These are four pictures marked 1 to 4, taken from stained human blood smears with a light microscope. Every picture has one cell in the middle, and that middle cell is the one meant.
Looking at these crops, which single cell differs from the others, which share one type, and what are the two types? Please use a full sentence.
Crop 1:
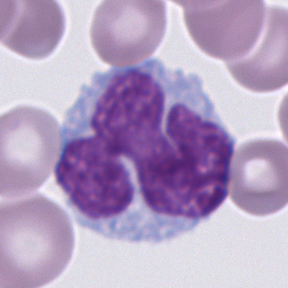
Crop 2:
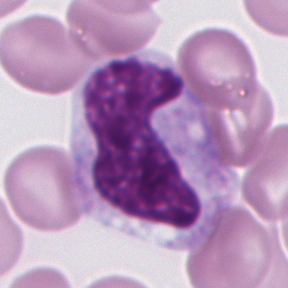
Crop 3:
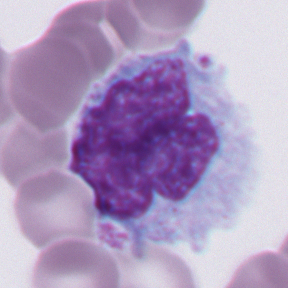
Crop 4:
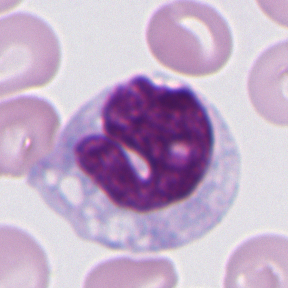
All the crops show monocytes except crop 2, which shows a band neutrophil.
